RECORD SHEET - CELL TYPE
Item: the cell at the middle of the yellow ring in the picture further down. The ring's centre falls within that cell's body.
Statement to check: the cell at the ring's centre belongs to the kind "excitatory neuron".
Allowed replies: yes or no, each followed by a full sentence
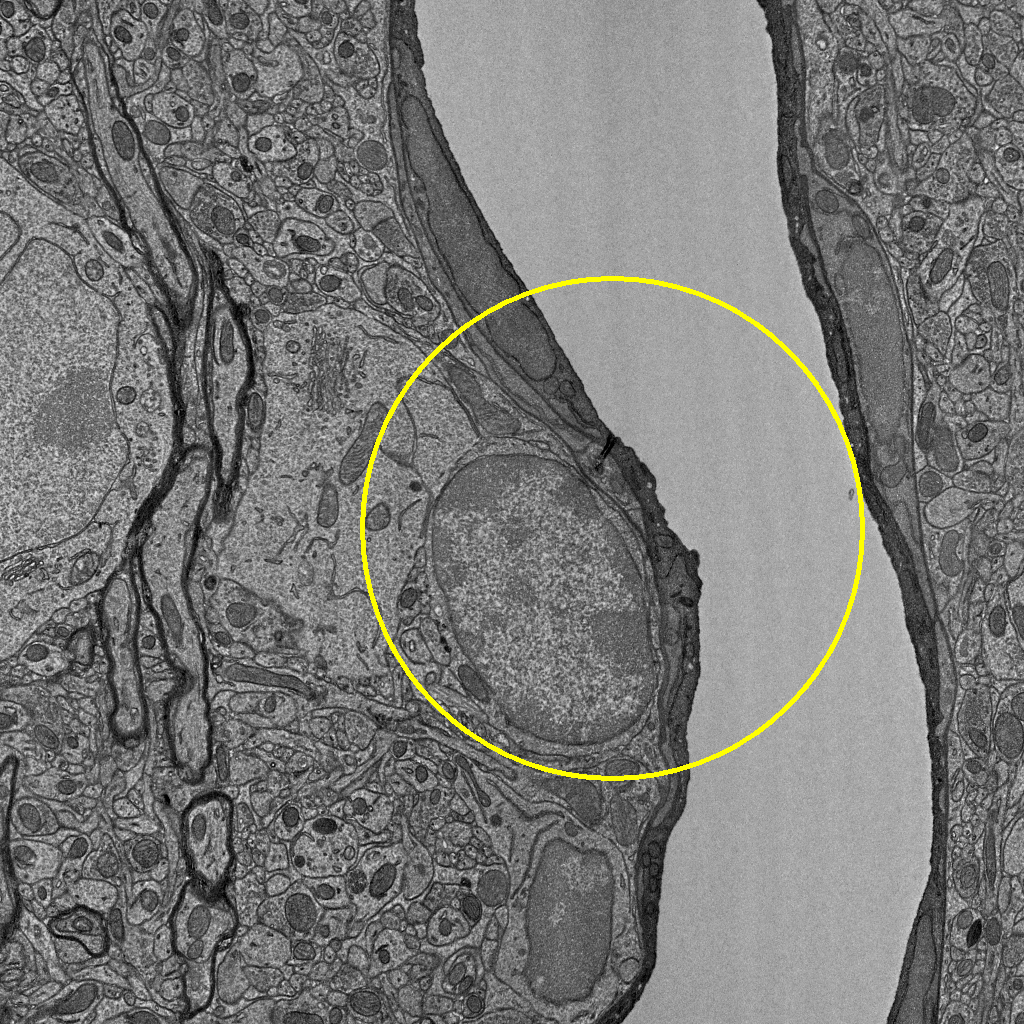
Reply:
No, the cell whose body contains the centre of the ring in the picture is of a different kind.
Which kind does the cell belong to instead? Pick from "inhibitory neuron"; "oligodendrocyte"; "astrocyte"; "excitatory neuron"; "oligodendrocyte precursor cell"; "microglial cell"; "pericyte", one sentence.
Instead, the picture shows an oligodendrocyte at the centre of the ring.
